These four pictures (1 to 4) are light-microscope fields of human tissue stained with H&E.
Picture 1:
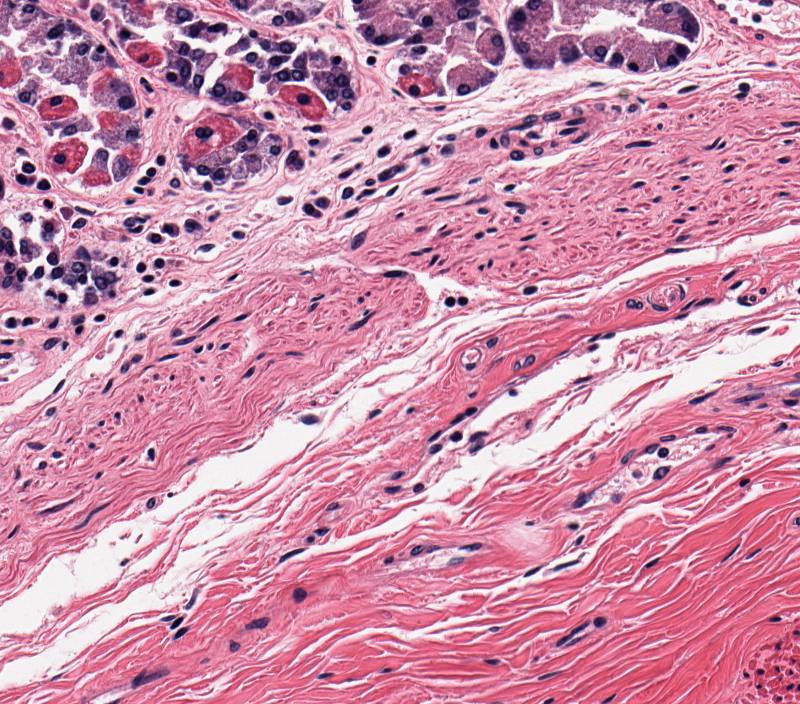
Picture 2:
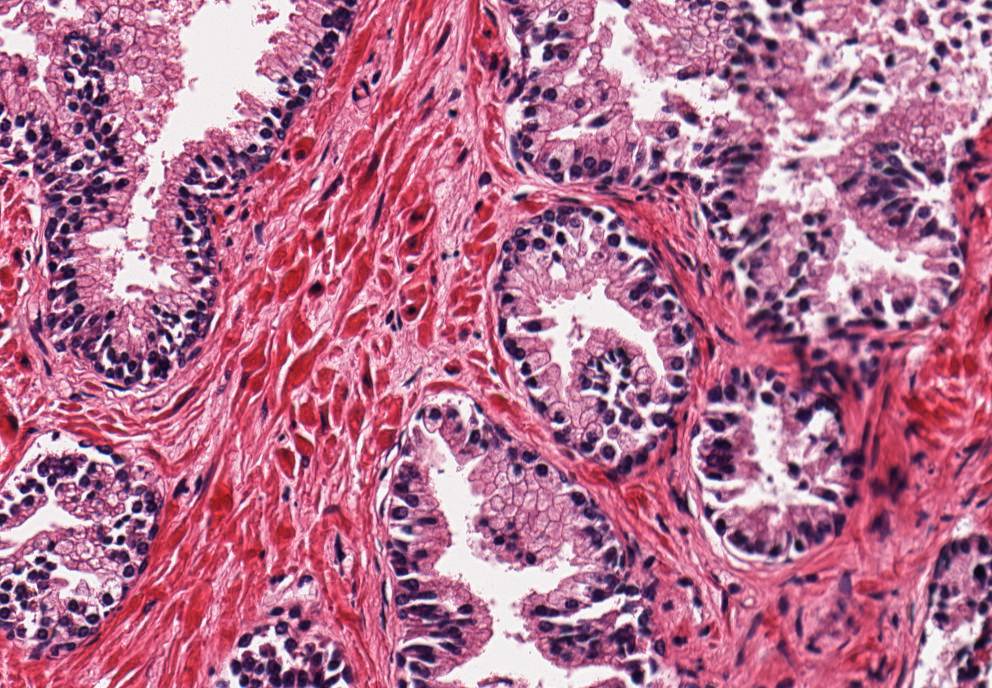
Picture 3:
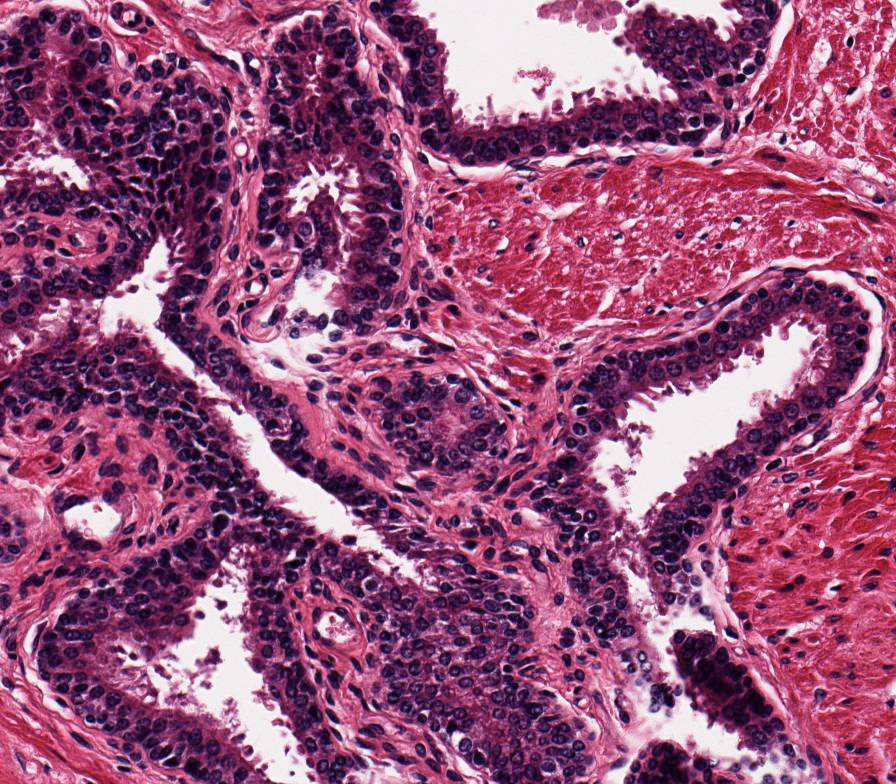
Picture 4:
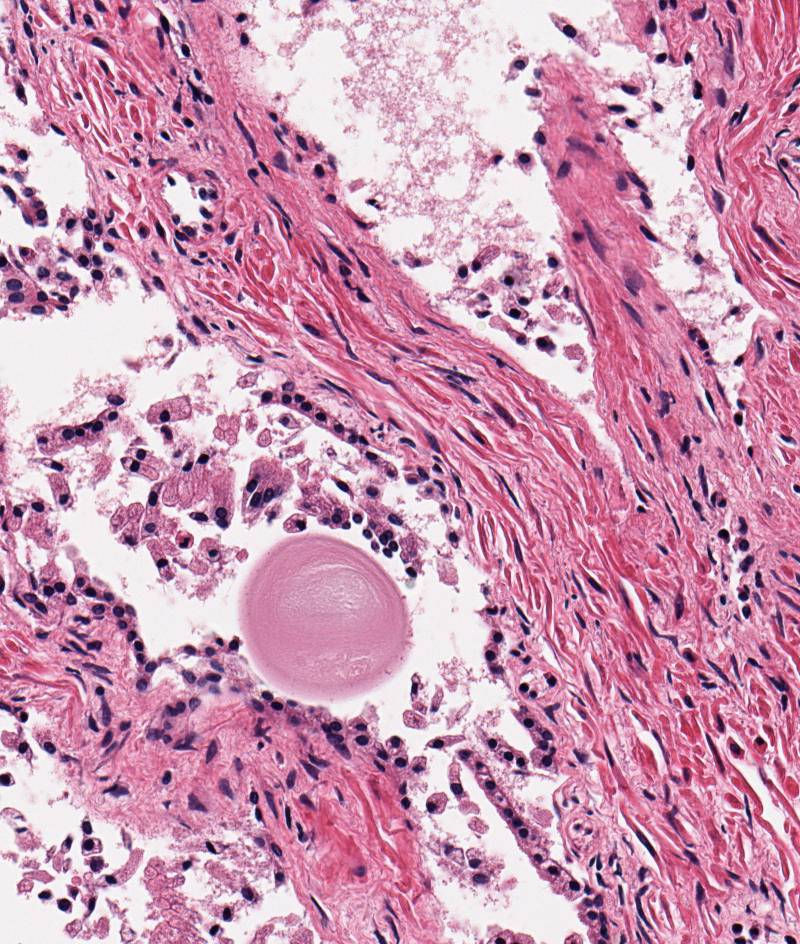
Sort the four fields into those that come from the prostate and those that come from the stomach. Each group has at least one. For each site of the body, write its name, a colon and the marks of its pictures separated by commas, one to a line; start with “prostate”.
prostate: 2, 3, 4
stomach: 1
